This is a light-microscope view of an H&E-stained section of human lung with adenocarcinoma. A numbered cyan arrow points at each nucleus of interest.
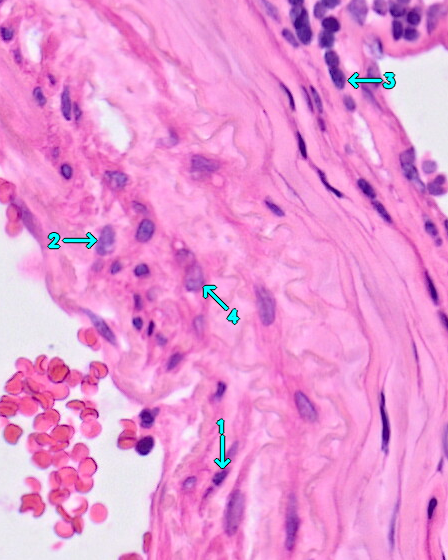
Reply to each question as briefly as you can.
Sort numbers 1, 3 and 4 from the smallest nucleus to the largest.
1, 3, 4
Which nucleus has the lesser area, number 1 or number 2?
1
